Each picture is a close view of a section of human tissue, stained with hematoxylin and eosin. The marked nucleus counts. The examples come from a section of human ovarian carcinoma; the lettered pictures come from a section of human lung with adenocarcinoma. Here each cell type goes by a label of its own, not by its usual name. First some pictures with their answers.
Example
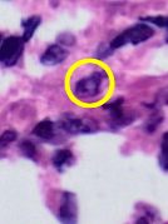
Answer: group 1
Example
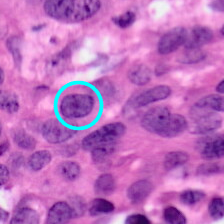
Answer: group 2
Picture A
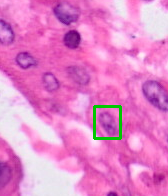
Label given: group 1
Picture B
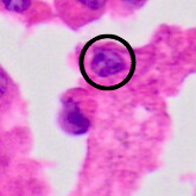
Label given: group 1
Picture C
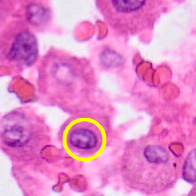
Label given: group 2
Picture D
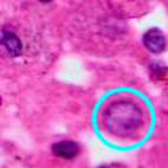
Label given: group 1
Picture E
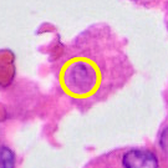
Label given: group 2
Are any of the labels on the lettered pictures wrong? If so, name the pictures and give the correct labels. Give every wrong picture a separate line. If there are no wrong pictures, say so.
C should be group 1, not group 2
E should be group 1, not group 2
